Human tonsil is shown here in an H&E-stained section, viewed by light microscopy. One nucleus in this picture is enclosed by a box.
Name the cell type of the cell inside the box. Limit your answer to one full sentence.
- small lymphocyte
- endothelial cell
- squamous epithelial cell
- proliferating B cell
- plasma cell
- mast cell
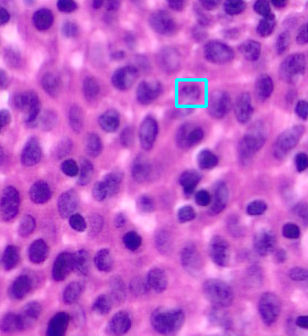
The category to which the cell inside the box belongs is that of a squamous epithelial cell.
